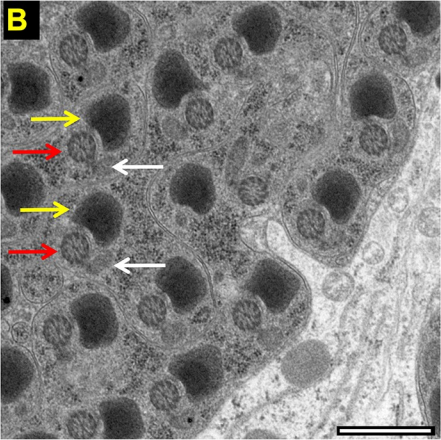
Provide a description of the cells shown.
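This is a closer view of a spermatid cyst in cross-section, where each developing sperm tail shows an axoneme, a round profile with a radial pattern of microtubules, paired with a large, uniformly dark major mitochondrial derivative. A smaller, paler minor mitochondrial derivative sits close to each pair. At the edge, the cyst boundary and paler surrounding tissue with a few membranous profiles are visible.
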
